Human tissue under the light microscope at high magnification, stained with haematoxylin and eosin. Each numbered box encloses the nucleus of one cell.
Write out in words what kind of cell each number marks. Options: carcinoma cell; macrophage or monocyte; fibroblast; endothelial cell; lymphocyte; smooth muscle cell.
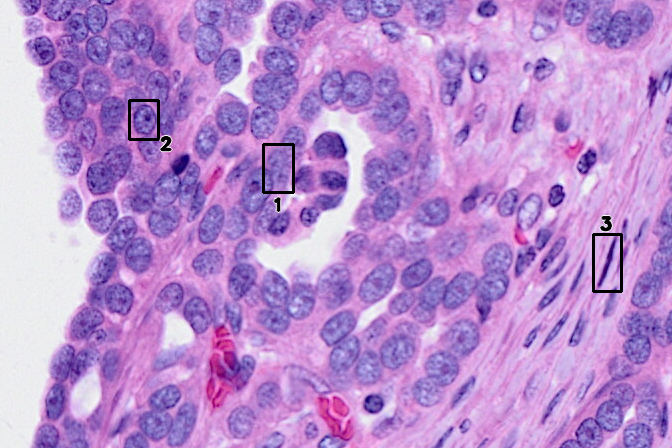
Cells 1 and 2 are carcinoma cells. Cell 3 is a fibroblast.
